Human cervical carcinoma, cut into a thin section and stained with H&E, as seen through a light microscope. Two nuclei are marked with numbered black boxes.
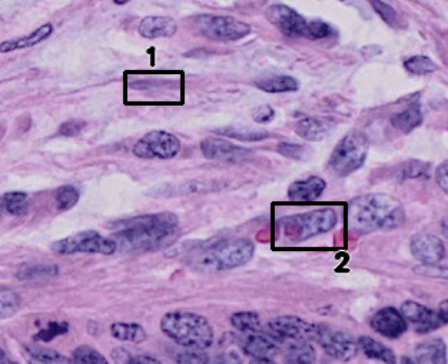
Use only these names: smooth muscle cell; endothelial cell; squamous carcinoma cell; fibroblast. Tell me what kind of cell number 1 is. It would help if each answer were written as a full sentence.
Recognised here as a fibroblast is the cell numbered 1.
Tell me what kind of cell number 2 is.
In this section, the cell tagged 2 is an endothelial cell.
